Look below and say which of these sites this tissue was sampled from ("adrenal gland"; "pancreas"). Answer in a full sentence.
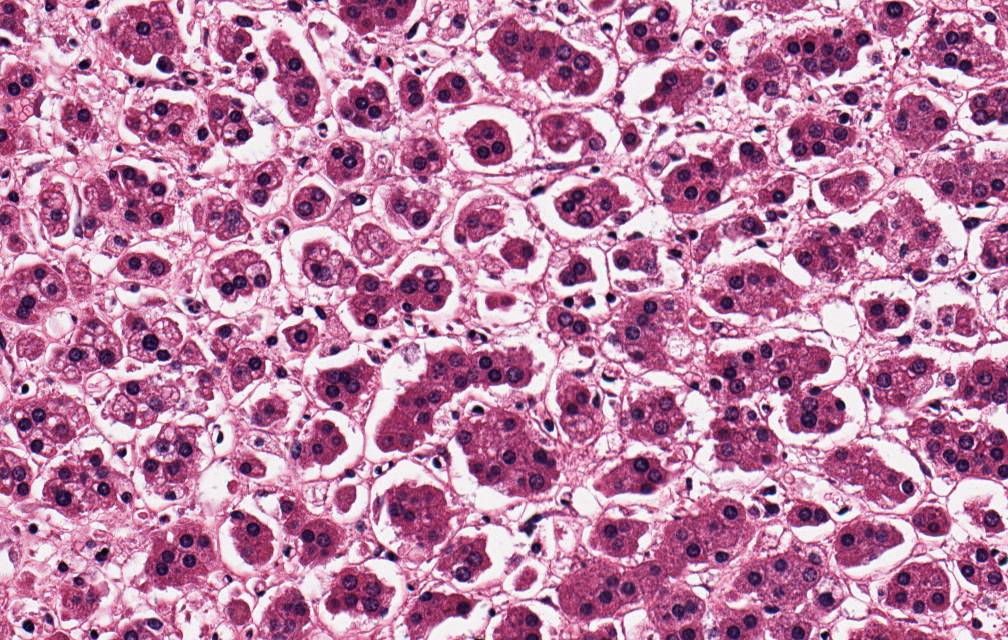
The site this tissue was sampled from is the adrenal gland.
